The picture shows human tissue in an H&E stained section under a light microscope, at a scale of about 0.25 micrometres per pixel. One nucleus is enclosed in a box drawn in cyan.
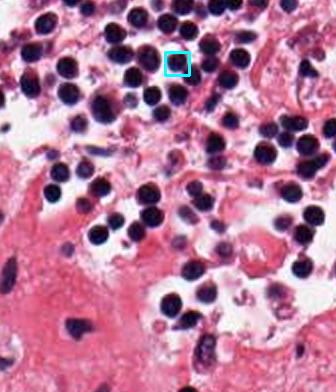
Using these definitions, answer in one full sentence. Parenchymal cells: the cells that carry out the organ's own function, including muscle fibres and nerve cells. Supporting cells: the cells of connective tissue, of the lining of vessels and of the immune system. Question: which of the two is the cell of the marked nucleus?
Here the marked nucleus is the nucleus of a supporting cell.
